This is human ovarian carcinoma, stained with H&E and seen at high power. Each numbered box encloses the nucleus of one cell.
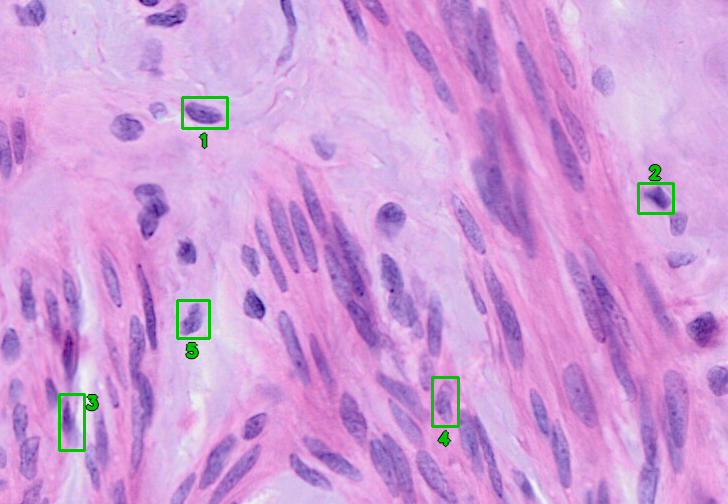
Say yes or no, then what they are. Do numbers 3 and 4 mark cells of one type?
Yes, cells 3 and 4 are both smooth muscle cells and thus of one type.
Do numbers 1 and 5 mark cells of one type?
Yes, going by number, cells 1 and 5 are both fibroblasts.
